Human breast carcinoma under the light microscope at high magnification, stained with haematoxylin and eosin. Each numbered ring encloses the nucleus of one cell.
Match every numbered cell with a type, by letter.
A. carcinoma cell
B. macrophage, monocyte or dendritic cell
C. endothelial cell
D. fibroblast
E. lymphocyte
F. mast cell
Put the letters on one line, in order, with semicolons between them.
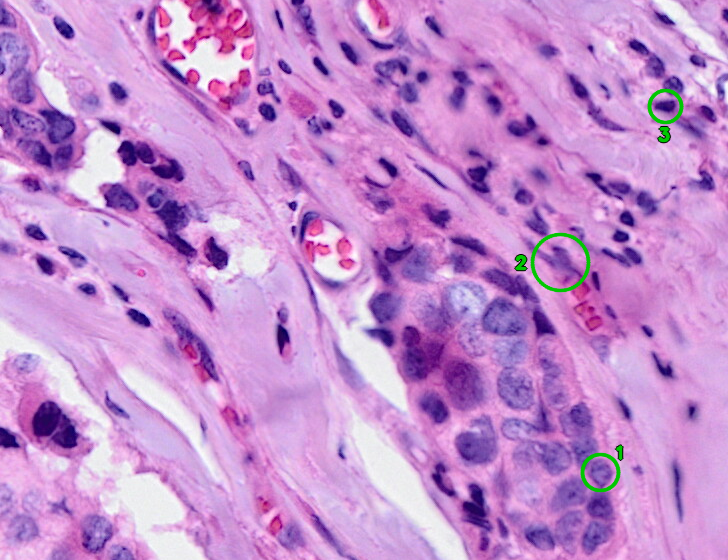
A; C; E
